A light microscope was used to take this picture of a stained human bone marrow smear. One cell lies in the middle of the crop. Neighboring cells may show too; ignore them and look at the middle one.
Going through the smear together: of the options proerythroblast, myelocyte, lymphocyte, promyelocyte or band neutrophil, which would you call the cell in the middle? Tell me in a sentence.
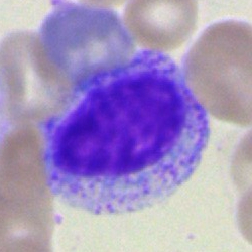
Here the centrally located cell is a myelocyte.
